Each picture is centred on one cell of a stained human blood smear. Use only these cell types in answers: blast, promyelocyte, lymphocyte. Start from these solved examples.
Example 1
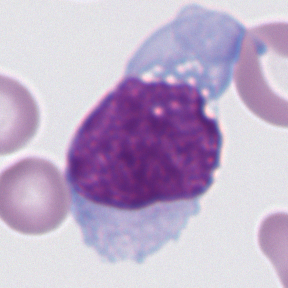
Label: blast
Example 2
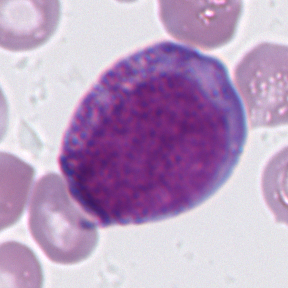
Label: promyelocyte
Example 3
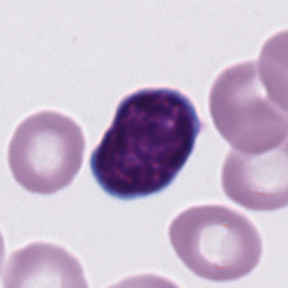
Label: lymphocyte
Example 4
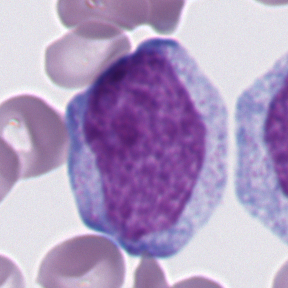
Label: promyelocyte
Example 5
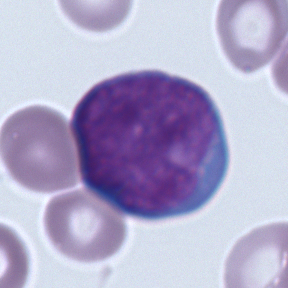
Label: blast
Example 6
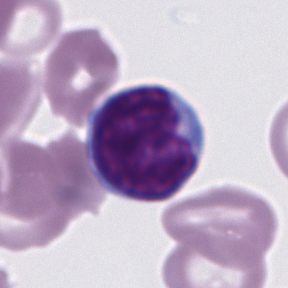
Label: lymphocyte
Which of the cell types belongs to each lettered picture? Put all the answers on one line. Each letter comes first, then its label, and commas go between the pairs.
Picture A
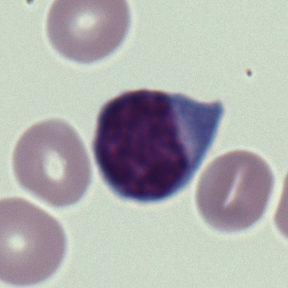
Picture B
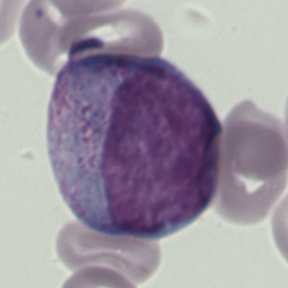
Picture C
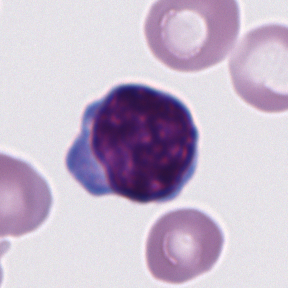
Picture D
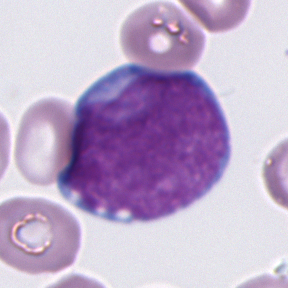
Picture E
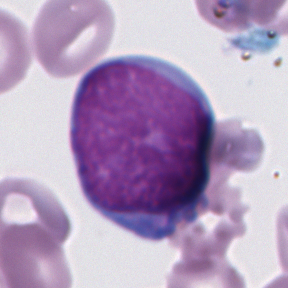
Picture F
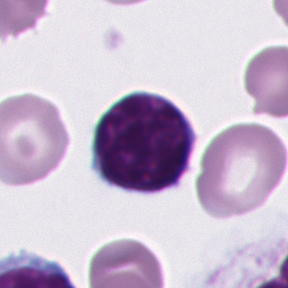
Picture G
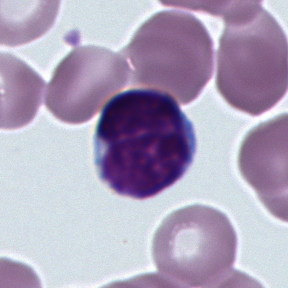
A lymphocyte, B promyelocyte, C lymphocyte, D blast, E blast, F lymphocyte, G lymphocyte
